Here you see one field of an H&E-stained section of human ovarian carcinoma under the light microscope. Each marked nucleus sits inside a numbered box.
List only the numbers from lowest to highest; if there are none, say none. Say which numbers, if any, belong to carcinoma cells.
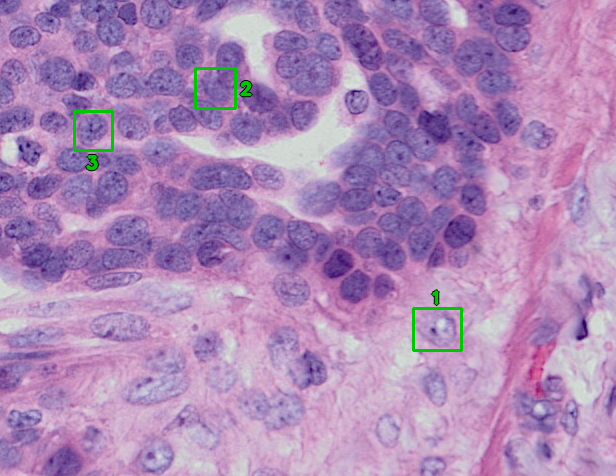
2, 3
